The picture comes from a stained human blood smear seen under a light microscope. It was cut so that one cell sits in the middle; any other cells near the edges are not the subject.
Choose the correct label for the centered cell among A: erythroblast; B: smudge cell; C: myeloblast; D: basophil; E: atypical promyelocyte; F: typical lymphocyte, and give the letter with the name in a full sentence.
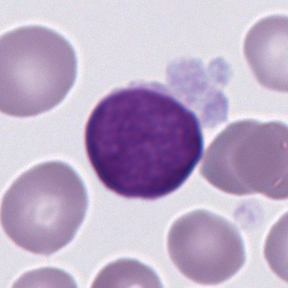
The cell placed in the middle is a myeloblast; option C is correct.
